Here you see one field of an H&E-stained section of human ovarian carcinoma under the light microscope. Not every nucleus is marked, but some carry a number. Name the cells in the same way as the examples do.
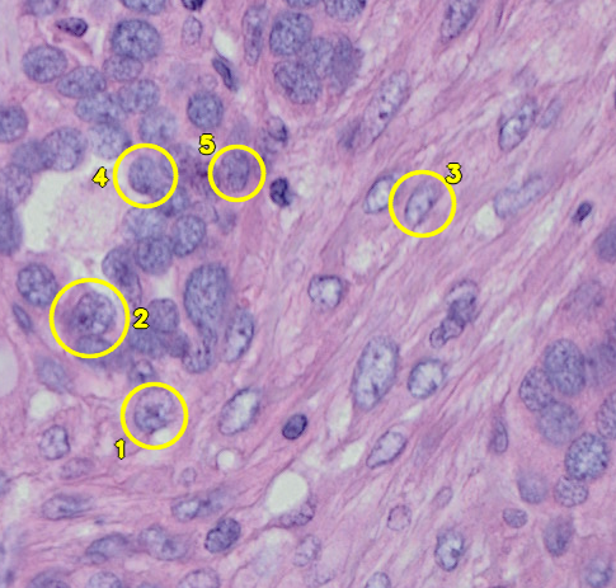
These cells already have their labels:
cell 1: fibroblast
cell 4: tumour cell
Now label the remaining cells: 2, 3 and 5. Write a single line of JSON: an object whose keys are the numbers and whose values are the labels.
{"2": "tumour cell", "3": "fibroblast", "5": "tumour cell"}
